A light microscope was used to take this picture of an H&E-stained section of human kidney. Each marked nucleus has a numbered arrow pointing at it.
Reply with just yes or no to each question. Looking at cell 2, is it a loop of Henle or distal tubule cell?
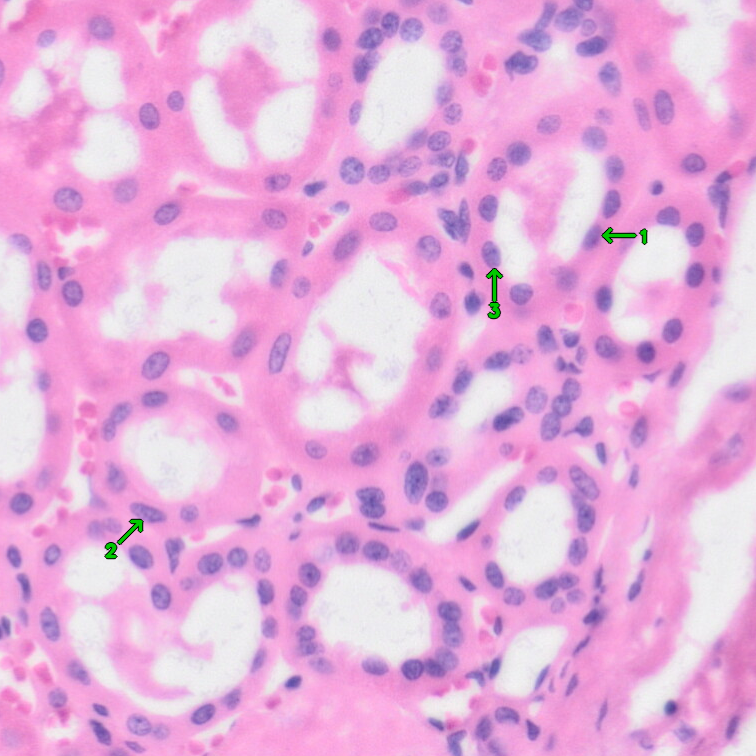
no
